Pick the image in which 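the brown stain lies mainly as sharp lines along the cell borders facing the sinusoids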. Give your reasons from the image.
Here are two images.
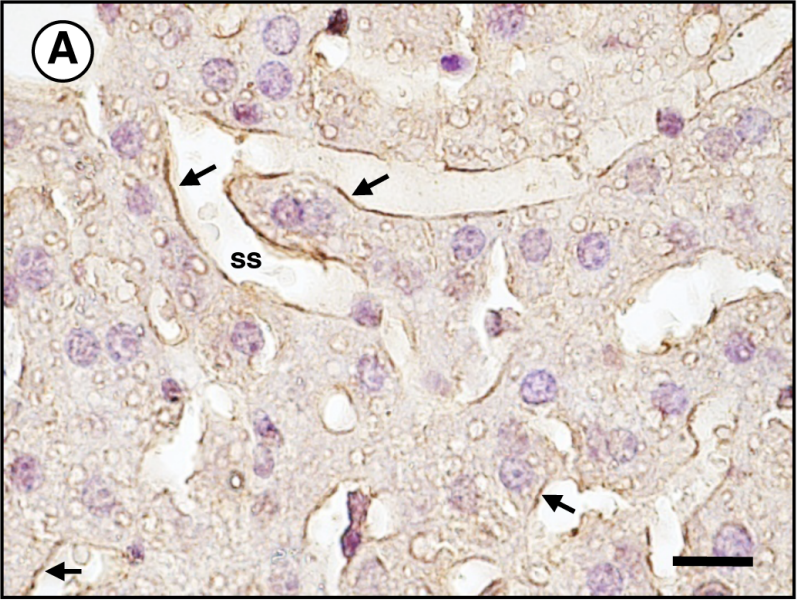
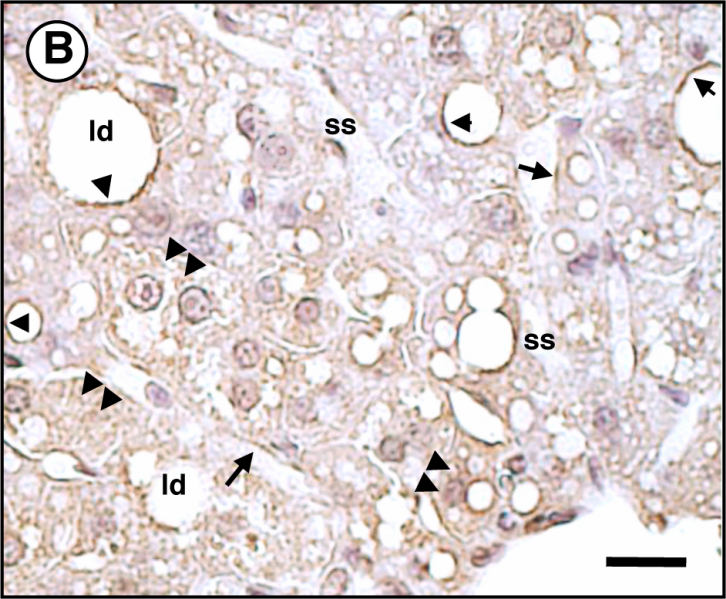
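The first image. Second image: brown tint is diffuse through the cytoplasm with only faint lines at the sinusoidal borders. First image: distinct dark brown lines outline the sinusoids while cytoplasm is pale.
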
